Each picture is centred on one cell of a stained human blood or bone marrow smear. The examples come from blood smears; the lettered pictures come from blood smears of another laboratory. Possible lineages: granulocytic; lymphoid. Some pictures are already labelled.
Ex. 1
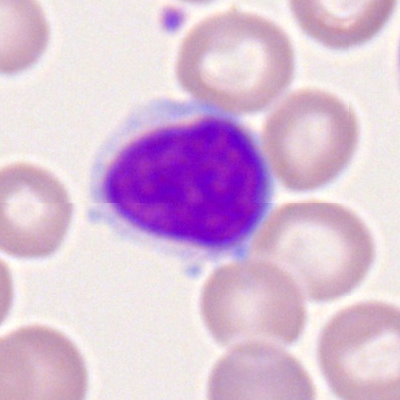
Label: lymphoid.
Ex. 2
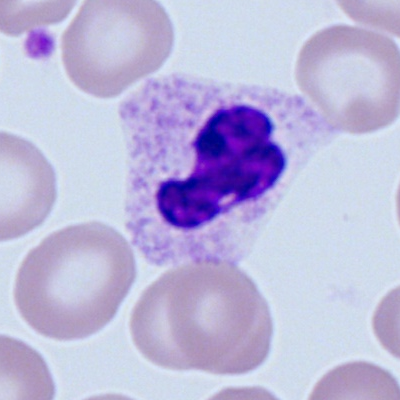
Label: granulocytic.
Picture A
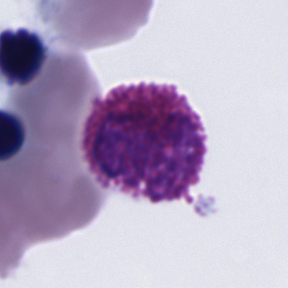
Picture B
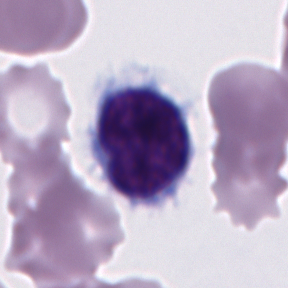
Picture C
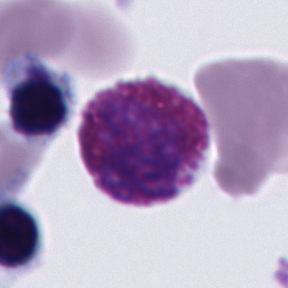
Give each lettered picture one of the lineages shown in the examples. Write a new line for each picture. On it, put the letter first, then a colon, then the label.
A: granulocytic.
B: lymphoid.
C: granulocytic.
